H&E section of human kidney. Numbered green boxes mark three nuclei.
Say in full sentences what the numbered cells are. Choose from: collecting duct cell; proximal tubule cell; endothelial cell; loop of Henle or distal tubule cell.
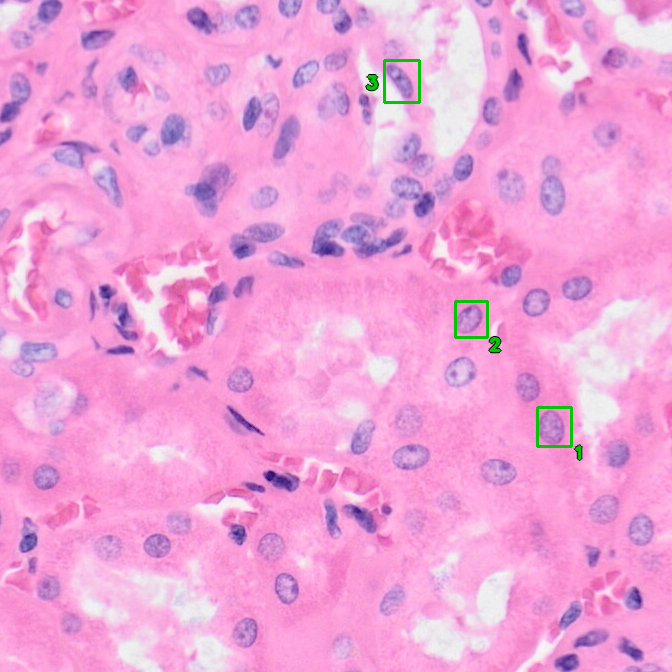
Cell 1 is a proximal tubule cell, cell 2 is a proximal tubule cell and cell 3 is a collecting duct cell.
